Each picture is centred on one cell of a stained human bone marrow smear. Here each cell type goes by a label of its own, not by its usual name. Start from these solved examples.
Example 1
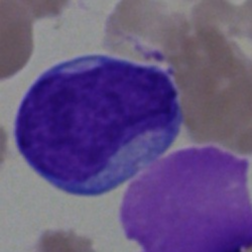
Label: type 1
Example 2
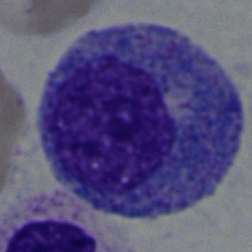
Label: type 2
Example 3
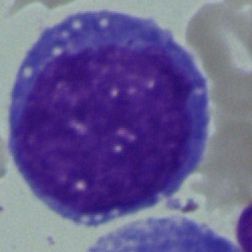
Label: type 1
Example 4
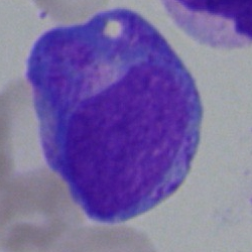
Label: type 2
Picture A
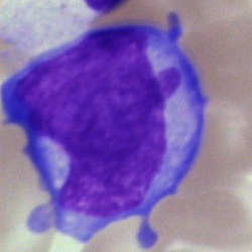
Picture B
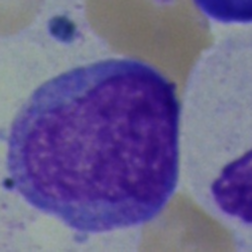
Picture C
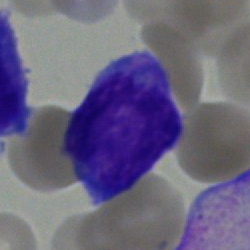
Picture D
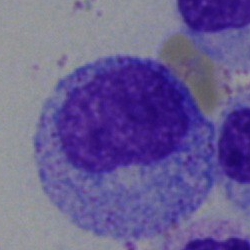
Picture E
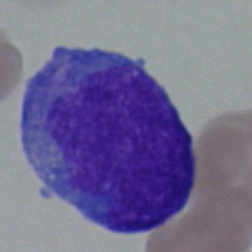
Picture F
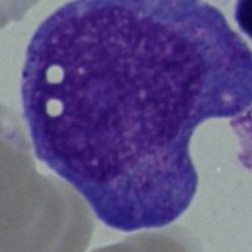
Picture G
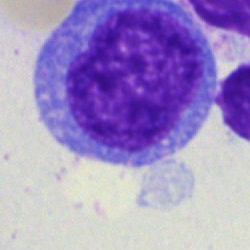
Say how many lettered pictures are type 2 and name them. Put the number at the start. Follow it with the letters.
Count: 2 (D, F)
